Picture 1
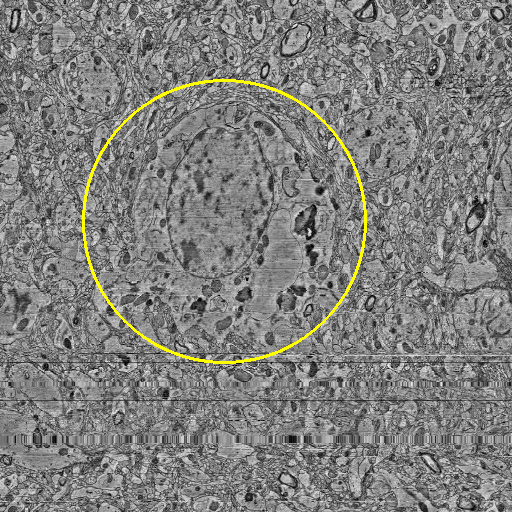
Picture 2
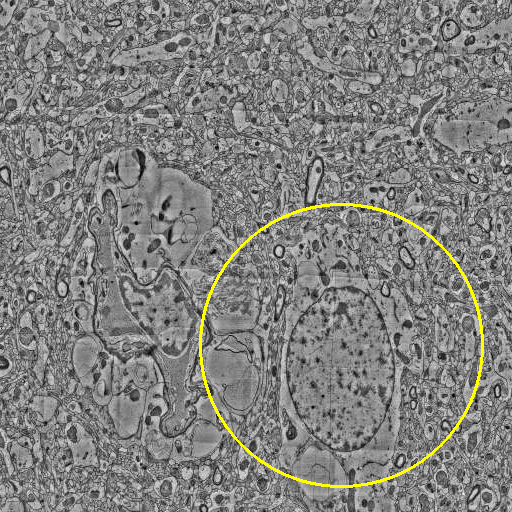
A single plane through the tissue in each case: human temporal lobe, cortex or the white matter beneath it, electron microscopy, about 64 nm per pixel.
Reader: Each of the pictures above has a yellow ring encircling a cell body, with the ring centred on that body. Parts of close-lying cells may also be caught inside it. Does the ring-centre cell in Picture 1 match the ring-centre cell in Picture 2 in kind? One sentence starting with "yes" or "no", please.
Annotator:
Yes, Picture 1 and Picture 2 show ring-centre cells of a single kind.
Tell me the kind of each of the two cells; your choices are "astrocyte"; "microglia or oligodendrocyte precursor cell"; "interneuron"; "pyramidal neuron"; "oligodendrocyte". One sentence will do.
In both pictures the ring is centred on an astrocyte.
